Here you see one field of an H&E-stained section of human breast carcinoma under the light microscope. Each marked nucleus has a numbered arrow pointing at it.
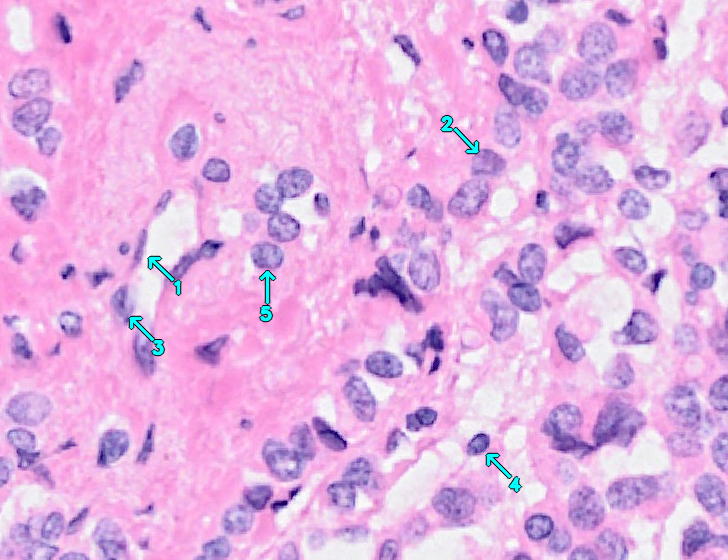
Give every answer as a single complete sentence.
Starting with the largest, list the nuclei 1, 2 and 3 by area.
Largest first, the order by area is 2, 3, 1.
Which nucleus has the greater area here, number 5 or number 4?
Nucleus 5 is larger, with an area about 1.5 times that of nucleus 4.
